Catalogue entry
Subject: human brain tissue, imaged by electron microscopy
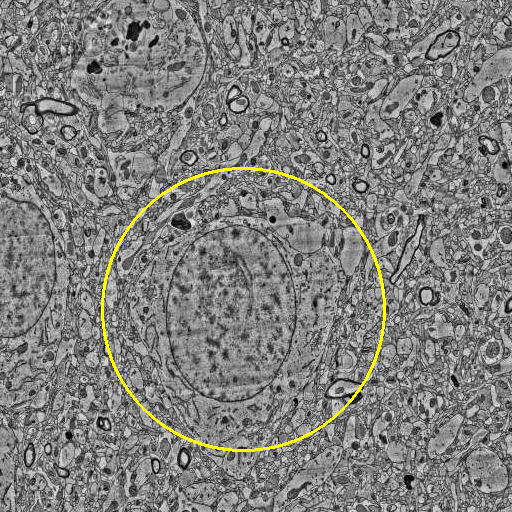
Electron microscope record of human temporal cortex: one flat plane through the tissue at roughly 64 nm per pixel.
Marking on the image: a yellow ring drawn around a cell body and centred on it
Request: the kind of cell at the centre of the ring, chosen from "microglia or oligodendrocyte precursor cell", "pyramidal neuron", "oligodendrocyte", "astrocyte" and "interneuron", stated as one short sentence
The ring has a pyramidal neuron at its centre.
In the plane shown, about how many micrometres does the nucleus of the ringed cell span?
The nucleus works out at approximately 11 by 8 micrometres in this plane.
